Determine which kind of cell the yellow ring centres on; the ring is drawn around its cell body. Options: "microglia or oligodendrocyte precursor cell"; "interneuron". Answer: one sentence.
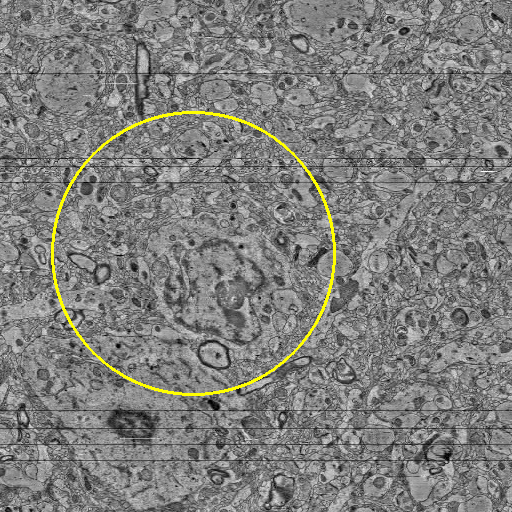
The ring centres on an interneuron.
